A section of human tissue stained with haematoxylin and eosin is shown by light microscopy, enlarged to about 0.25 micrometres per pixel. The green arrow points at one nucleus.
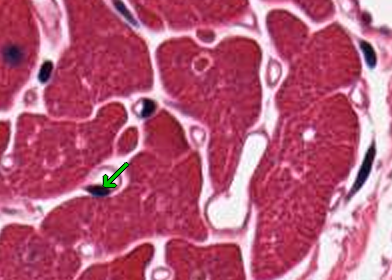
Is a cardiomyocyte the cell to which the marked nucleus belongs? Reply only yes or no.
no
